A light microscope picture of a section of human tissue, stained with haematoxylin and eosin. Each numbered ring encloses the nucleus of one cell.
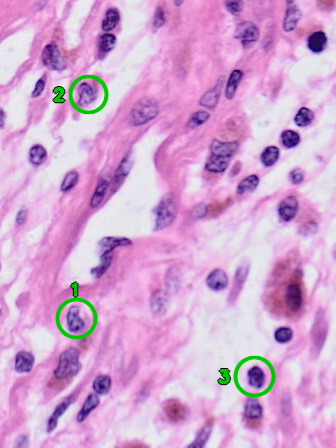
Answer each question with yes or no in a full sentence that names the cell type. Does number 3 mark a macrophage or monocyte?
No, cell 3 is not a macrophage or monocyte, but is instead a lymphocyte.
